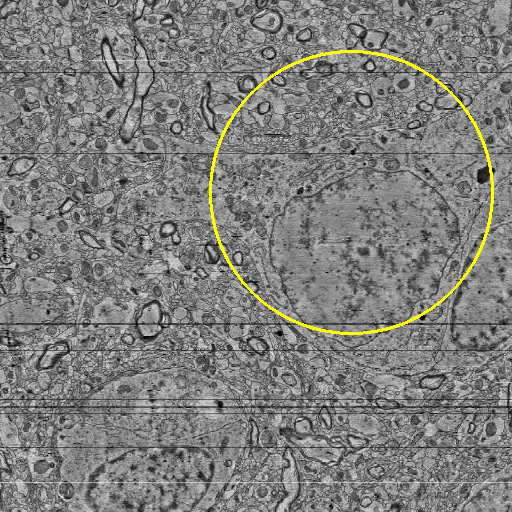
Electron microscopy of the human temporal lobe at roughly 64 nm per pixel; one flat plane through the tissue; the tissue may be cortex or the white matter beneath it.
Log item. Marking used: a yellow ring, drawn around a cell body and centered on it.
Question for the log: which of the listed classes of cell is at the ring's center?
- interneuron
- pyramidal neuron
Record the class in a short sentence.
At the center of the ring lies a pyramidal neuron.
